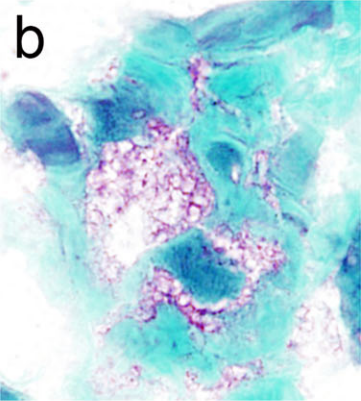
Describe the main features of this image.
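This is skeletal muscle stained blue-green, in which a fiber contains rimmed vacuoles. The vacuoles are clear, irregular spaces lined and partly filled by red-purple granular material. They occupy much of the fiber's interior, while the surrounding fiber cytoplasm is blue-green. Darker blue-green areas lie between and beside the vacuoles.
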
